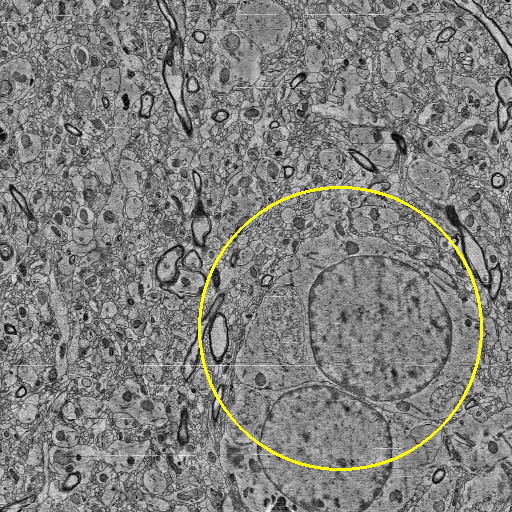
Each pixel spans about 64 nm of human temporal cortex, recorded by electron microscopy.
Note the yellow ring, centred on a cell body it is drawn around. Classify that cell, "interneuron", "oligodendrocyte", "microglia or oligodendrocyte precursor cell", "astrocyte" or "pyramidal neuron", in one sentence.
The cell the ring is centred on is an astrocyte.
